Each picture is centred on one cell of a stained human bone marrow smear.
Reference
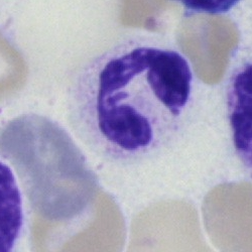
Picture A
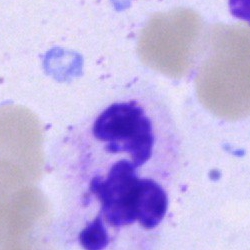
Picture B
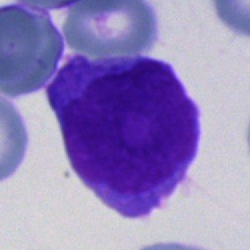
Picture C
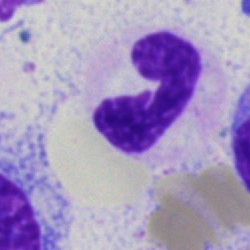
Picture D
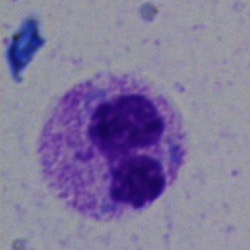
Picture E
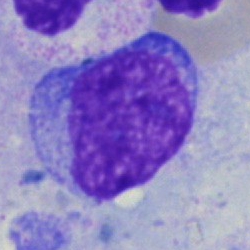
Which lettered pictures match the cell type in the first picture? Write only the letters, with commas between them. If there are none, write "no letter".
A, C, D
